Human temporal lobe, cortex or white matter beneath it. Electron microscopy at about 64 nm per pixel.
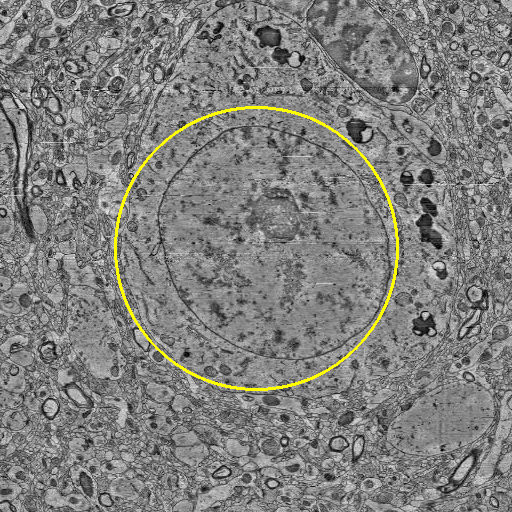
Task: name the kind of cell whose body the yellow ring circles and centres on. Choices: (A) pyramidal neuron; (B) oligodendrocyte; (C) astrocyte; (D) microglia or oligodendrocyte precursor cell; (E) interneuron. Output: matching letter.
A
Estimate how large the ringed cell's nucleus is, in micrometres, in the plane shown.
Approximately 16 micrometres long and 14 micrometres wide, in this plane.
